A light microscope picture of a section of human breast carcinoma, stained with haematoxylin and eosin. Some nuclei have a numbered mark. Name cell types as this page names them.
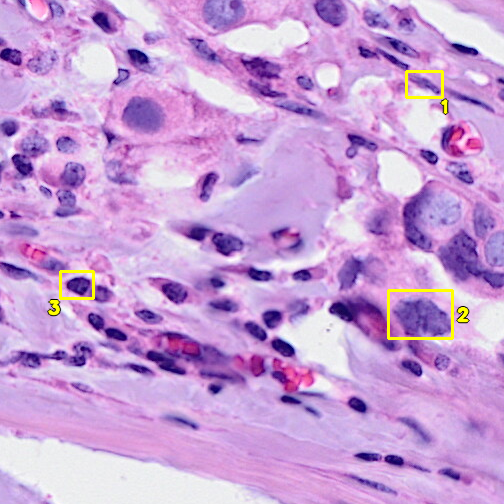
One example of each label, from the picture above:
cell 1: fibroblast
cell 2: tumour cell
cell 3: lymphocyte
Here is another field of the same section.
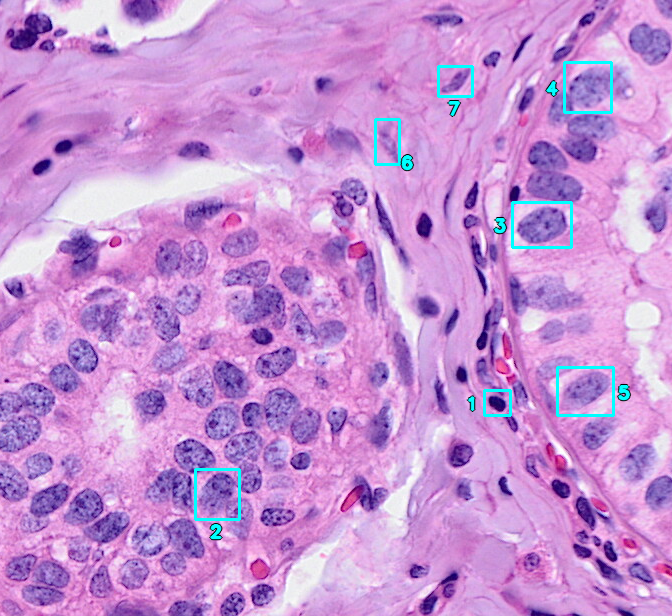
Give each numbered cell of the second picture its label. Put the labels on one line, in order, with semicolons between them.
lymphocyte; tumour cell; tumour cell; tumour cell; tumour cell; fibroblast; fibroblast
